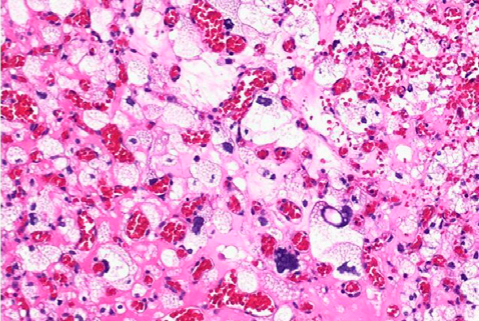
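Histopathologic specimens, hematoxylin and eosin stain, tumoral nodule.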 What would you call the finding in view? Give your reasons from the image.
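Hemangioblastoma. Many small capillary-sized vessels packed with red blood cells. Between the vessels lie cells with pale, bubbly, vacuolated cytoplasm. Scattered cells have large, dark nuclei.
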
